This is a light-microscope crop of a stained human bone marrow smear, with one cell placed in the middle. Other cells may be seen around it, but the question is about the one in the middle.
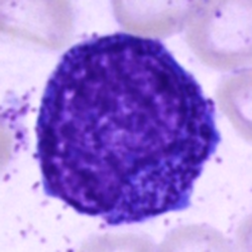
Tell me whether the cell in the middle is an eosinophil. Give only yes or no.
no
